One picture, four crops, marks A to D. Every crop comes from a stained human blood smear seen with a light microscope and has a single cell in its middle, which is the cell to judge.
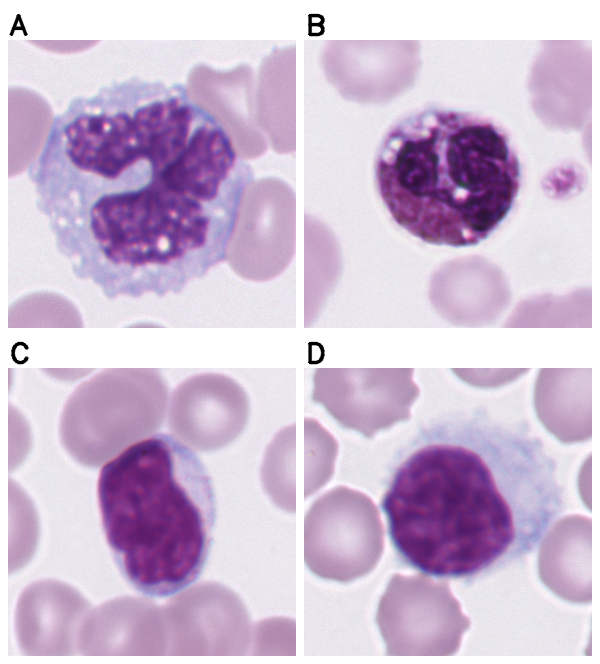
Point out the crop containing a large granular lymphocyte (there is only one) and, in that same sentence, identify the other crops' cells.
In the set, crop C shows a large granular lymphocyte, whereas crop A is a monocyte, crop B is an eosinophil and crop D is a hairy cell.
